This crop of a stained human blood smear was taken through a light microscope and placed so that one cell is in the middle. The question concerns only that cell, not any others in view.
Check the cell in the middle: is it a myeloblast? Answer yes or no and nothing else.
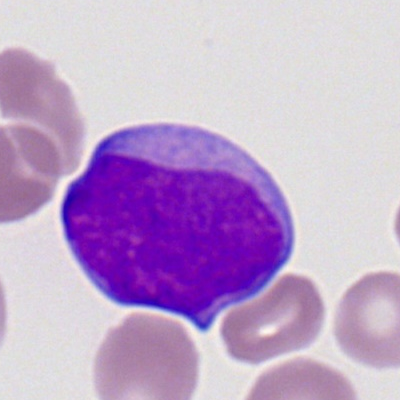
yes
